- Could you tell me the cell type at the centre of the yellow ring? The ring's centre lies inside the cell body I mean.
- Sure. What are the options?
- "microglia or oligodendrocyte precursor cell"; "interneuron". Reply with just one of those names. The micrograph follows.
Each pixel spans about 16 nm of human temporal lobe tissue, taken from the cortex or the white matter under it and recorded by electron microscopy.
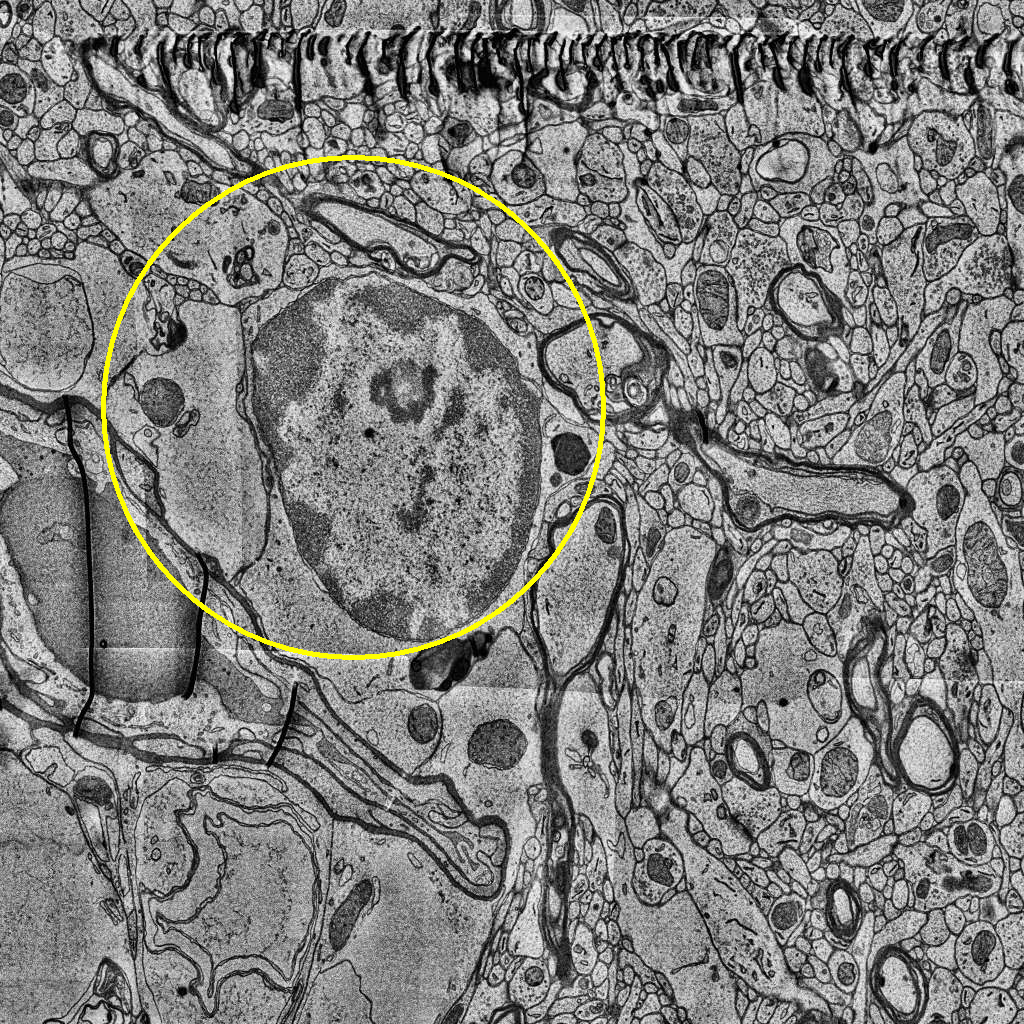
microglia or oligodendrocyte precursor cell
